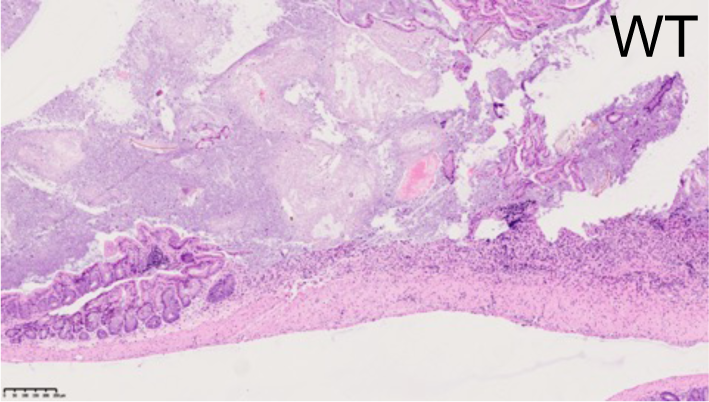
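At the lower left a few intact glandular crypts remain, lined by purple epithelium. Over much of the field the normal rows of crypts are missing, and the mucosa is replaced by pale, loosely textured pink-purple tissue with scattered purple cells. A band of densely purple cellular tissue runs along the bottom, above the pink outer wall layer.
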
